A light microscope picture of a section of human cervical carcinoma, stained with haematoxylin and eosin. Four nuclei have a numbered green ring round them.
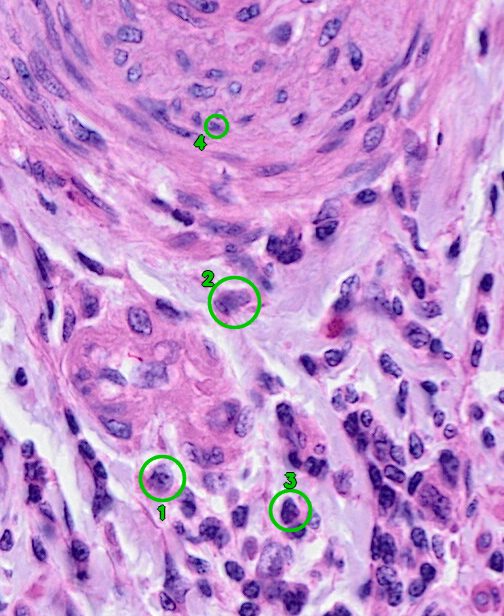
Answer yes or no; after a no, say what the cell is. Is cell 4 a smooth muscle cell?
Yes.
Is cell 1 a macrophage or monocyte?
Yes.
